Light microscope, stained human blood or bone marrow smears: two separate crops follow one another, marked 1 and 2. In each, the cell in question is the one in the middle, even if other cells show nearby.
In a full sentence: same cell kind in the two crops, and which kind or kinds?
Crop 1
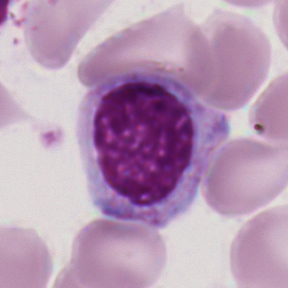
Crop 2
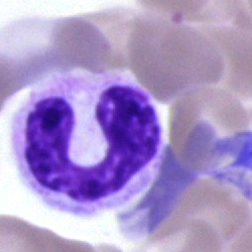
No, in crop 1 the cell is a metamyelocyte, and in crop 2 it is a band neutrophil.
